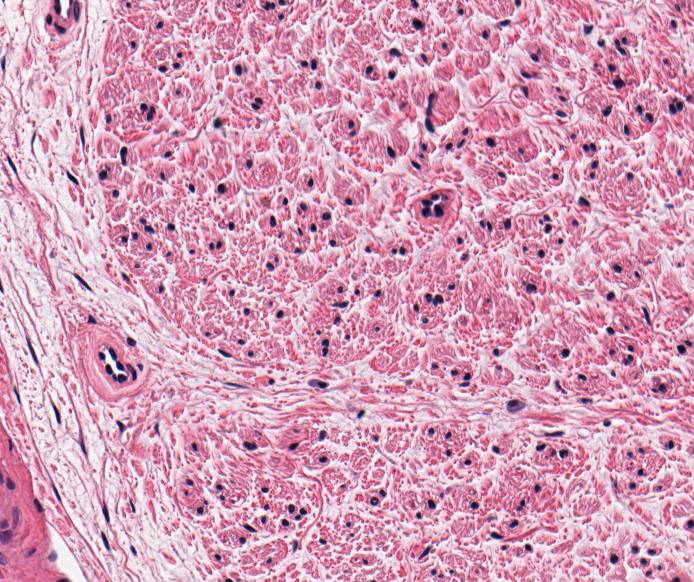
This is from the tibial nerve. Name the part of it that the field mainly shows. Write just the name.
nerve fascicle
